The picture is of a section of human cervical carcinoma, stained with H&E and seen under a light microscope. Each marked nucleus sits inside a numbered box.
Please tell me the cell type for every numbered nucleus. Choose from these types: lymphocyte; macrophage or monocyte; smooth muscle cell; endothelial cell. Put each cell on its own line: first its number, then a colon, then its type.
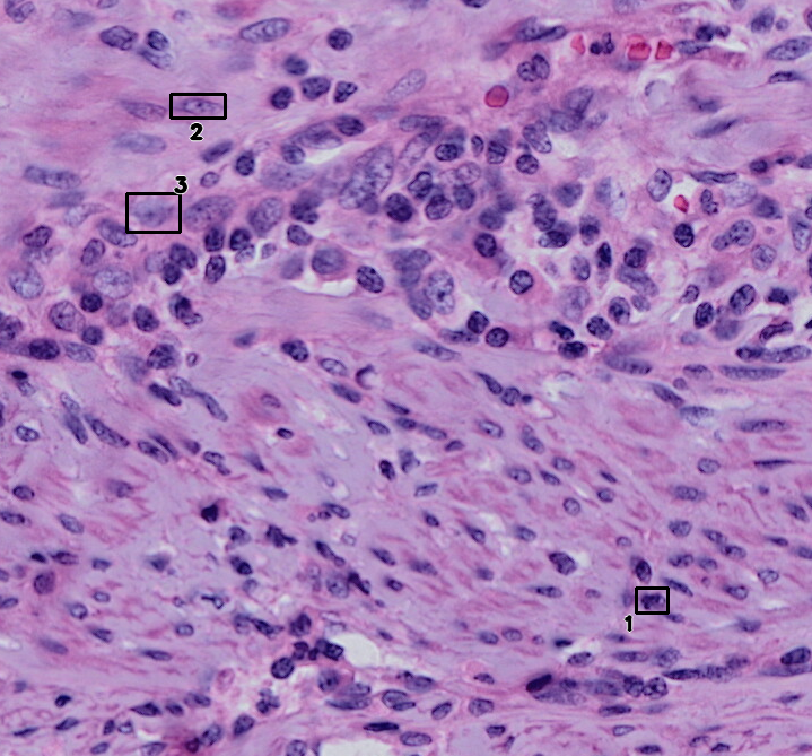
1: lymphocyte
2: smooth muscle cell
3: endothelial cell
